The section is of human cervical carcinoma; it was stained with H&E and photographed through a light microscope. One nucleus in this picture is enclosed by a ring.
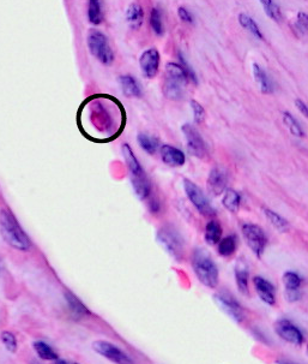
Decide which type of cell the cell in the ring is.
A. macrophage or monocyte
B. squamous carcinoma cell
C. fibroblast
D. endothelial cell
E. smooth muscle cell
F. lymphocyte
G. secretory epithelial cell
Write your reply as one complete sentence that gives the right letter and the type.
Option D is the right one; the cell in the ring is an endothelial cell.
